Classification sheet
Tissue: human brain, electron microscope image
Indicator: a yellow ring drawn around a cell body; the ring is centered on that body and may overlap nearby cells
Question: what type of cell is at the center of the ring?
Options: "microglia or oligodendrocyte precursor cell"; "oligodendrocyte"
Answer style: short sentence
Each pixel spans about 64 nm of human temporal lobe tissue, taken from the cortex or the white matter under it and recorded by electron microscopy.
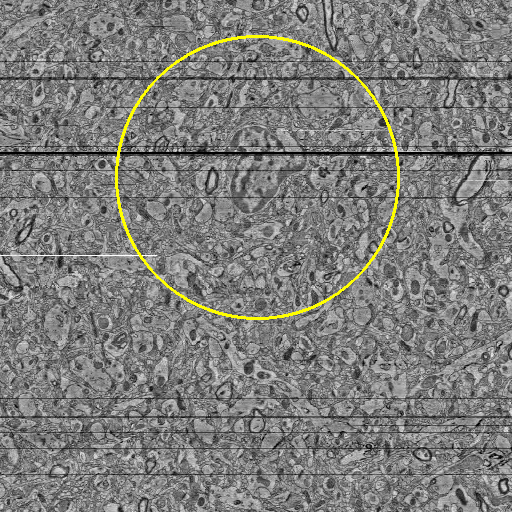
At the ring's center is a microglial cell or oligodendrocyte precursor cell.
